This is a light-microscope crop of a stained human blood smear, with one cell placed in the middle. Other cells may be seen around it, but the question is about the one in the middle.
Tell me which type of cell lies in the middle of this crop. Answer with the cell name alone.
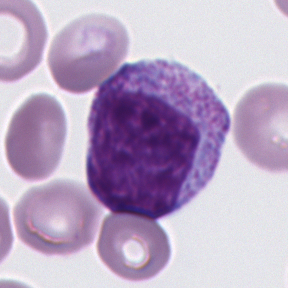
atypical promyelocyte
